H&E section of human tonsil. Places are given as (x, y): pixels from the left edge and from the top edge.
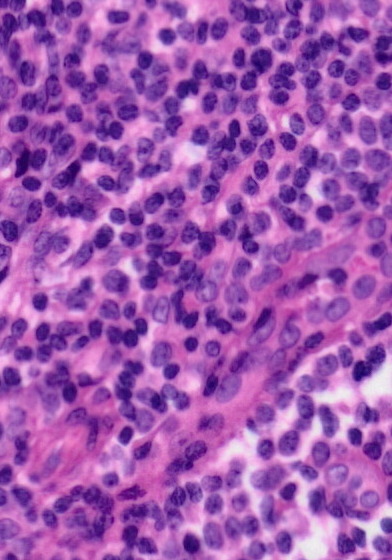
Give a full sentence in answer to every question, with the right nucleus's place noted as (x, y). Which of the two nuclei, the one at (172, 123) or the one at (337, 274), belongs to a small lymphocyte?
Of the two candidate nuclei, the one at (172, 123) is that of a small lymphocyte.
